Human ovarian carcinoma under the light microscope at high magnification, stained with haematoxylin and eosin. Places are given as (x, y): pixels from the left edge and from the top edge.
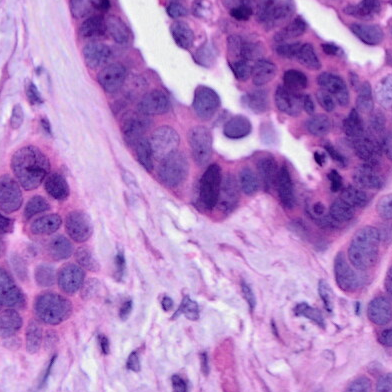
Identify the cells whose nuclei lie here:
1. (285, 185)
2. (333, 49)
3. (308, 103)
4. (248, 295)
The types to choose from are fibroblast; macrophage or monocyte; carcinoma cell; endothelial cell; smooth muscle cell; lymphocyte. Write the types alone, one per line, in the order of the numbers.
carcinoma cell
carcinoma cell
carcinoma cell
fibroblast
